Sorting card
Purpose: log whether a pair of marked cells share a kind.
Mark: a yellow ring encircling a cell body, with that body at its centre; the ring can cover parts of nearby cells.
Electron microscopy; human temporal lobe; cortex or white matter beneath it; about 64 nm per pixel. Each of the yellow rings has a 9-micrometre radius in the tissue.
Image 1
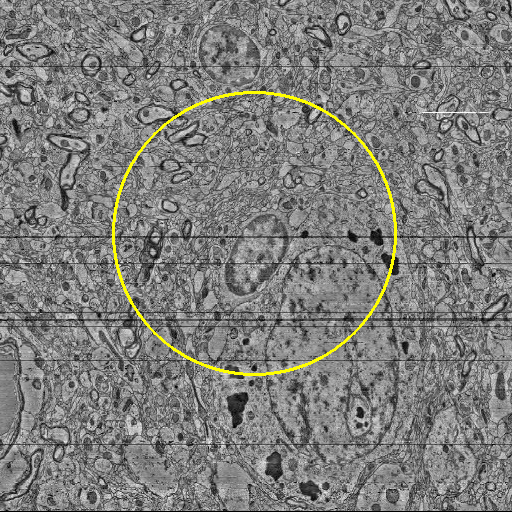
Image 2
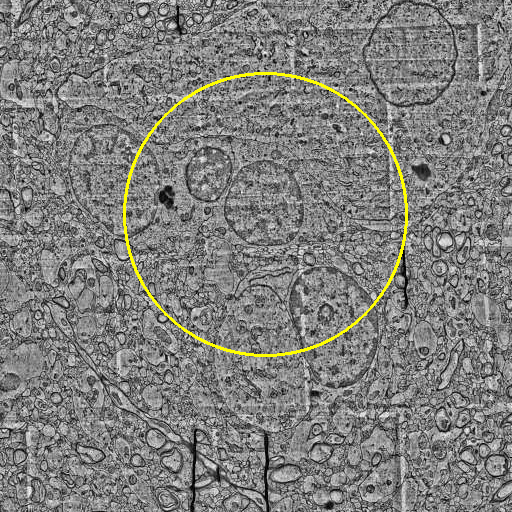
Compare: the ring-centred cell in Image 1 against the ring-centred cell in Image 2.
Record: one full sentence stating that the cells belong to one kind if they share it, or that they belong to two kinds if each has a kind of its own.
Across Images 1 and 2, the two ring-centred cells belong to one kind.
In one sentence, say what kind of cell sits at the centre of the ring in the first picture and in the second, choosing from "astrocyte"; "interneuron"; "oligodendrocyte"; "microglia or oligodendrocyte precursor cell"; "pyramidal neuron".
Both cells are the same kind, each one being an oligodendrocyte.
